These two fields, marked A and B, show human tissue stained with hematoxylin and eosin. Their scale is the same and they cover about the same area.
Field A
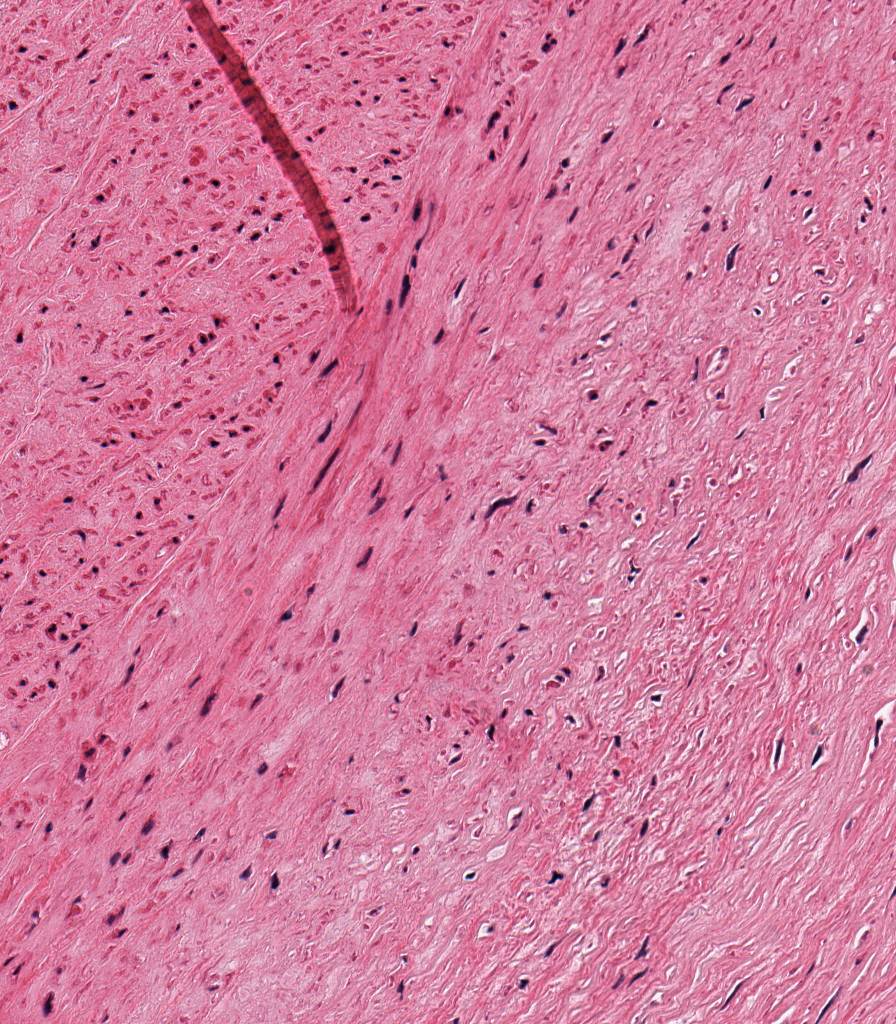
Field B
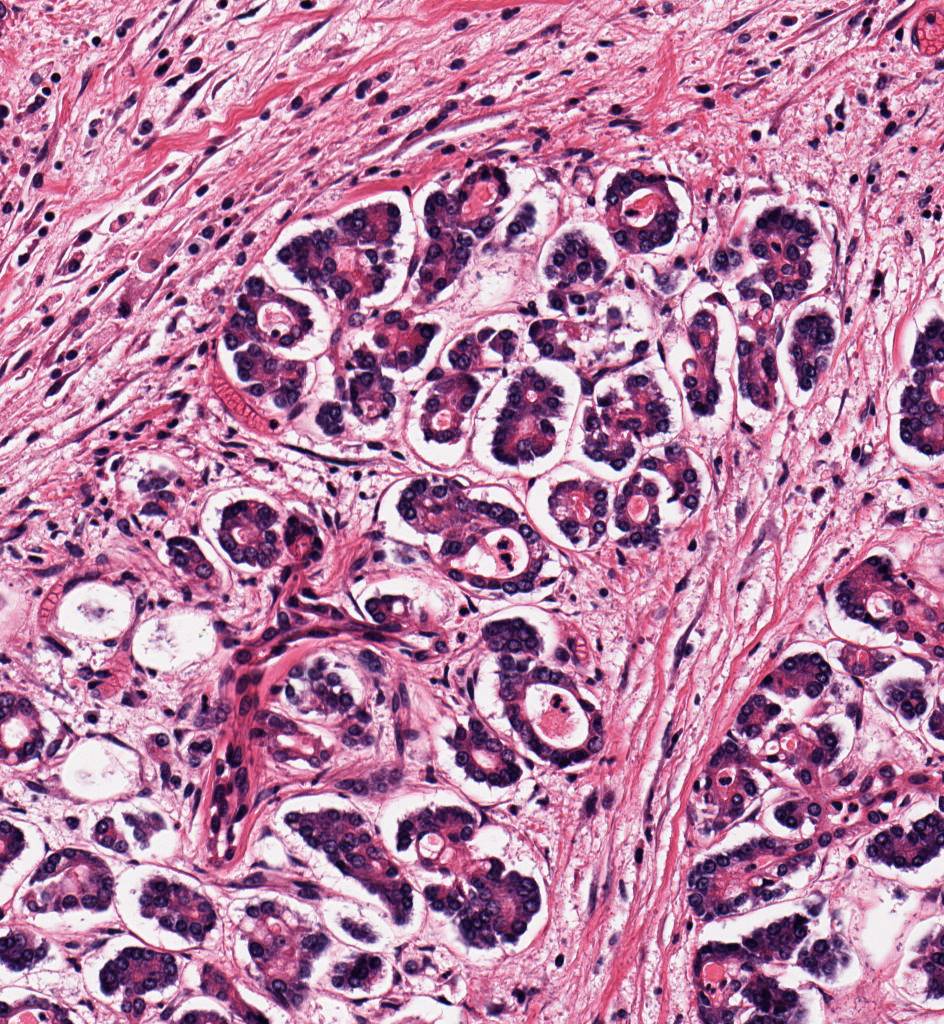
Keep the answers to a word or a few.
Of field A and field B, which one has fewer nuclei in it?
A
